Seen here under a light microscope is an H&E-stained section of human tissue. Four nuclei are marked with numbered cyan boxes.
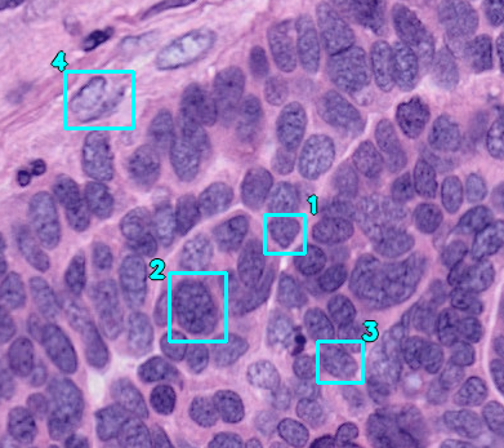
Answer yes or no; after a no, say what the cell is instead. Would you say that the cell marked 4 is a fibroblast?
Yes.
